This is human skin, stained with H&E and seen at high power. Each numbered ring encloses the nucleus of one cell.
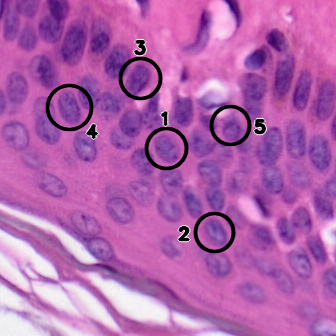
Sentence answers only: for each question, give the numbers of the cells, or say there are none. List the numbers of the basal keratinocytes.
Marked by the numbers 3 and 5 are cells that are basal keratinocytes.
